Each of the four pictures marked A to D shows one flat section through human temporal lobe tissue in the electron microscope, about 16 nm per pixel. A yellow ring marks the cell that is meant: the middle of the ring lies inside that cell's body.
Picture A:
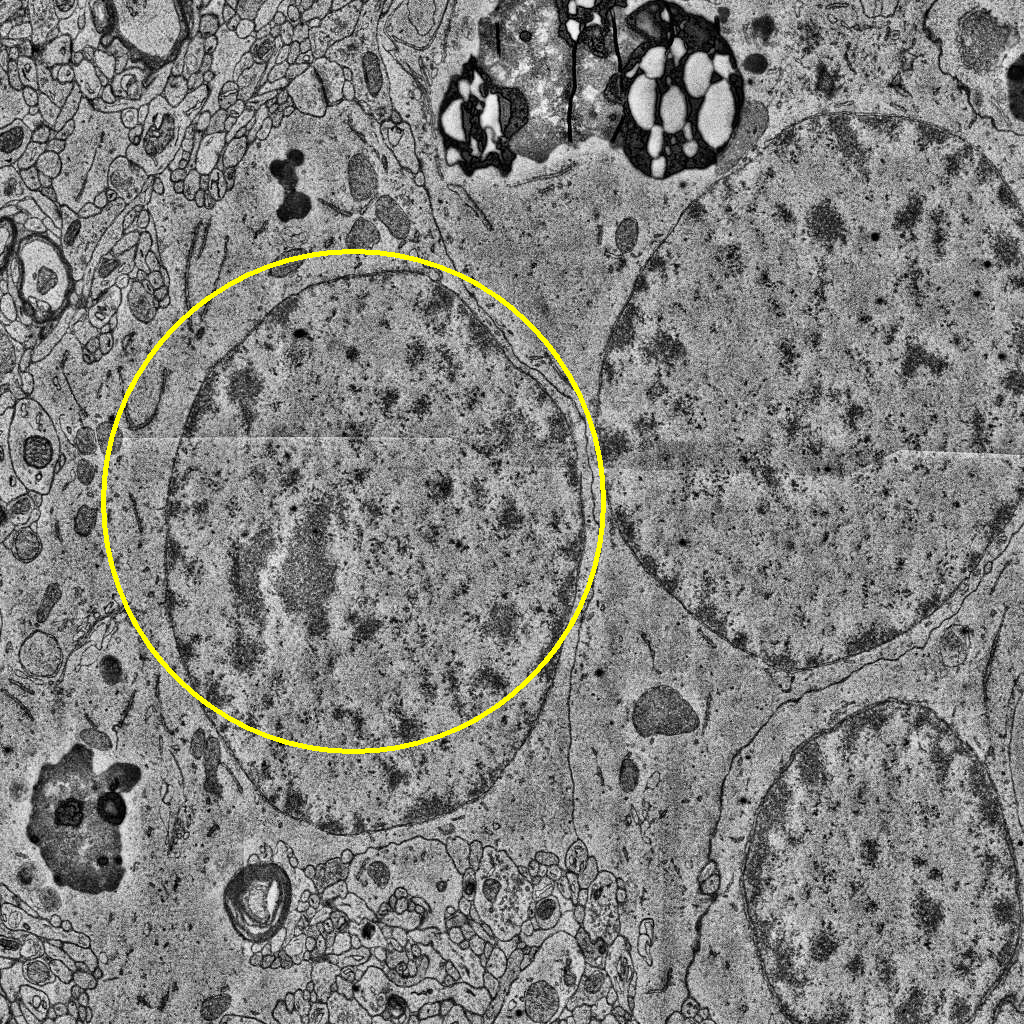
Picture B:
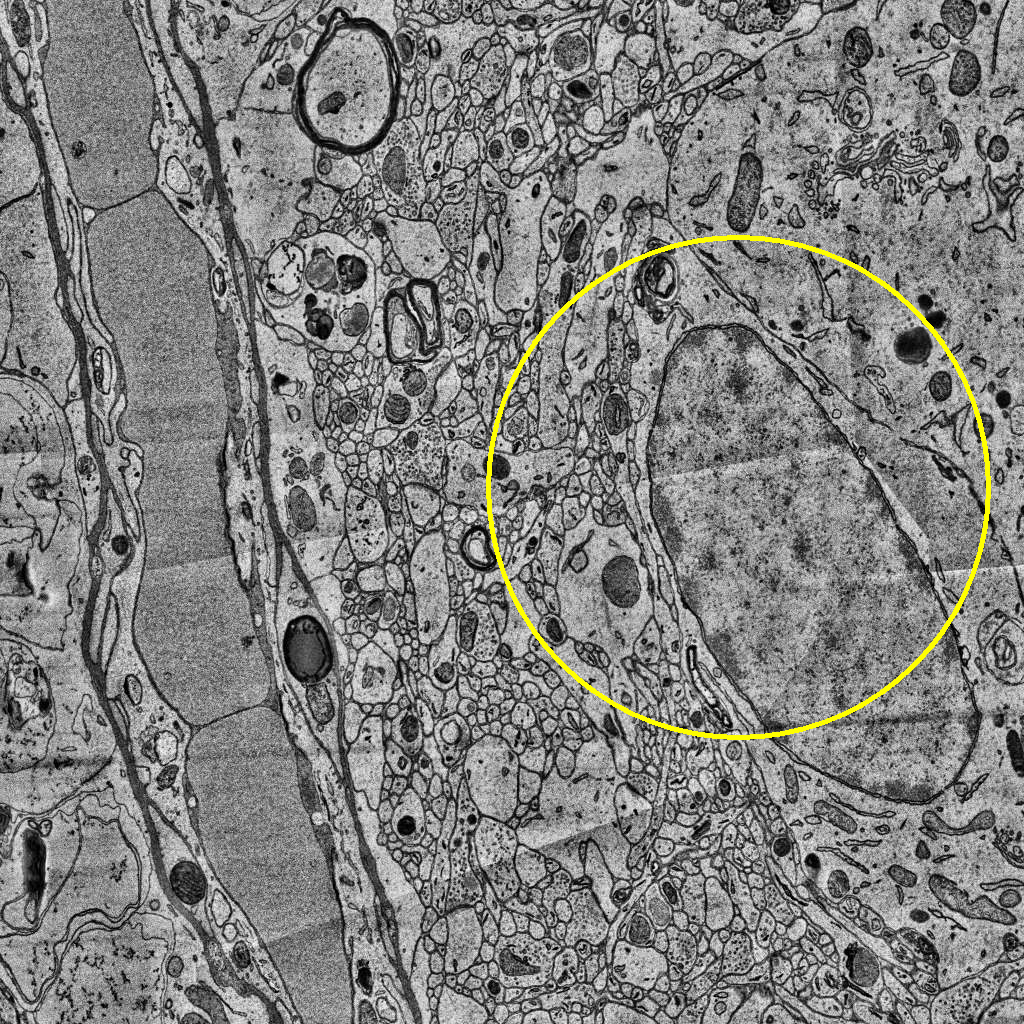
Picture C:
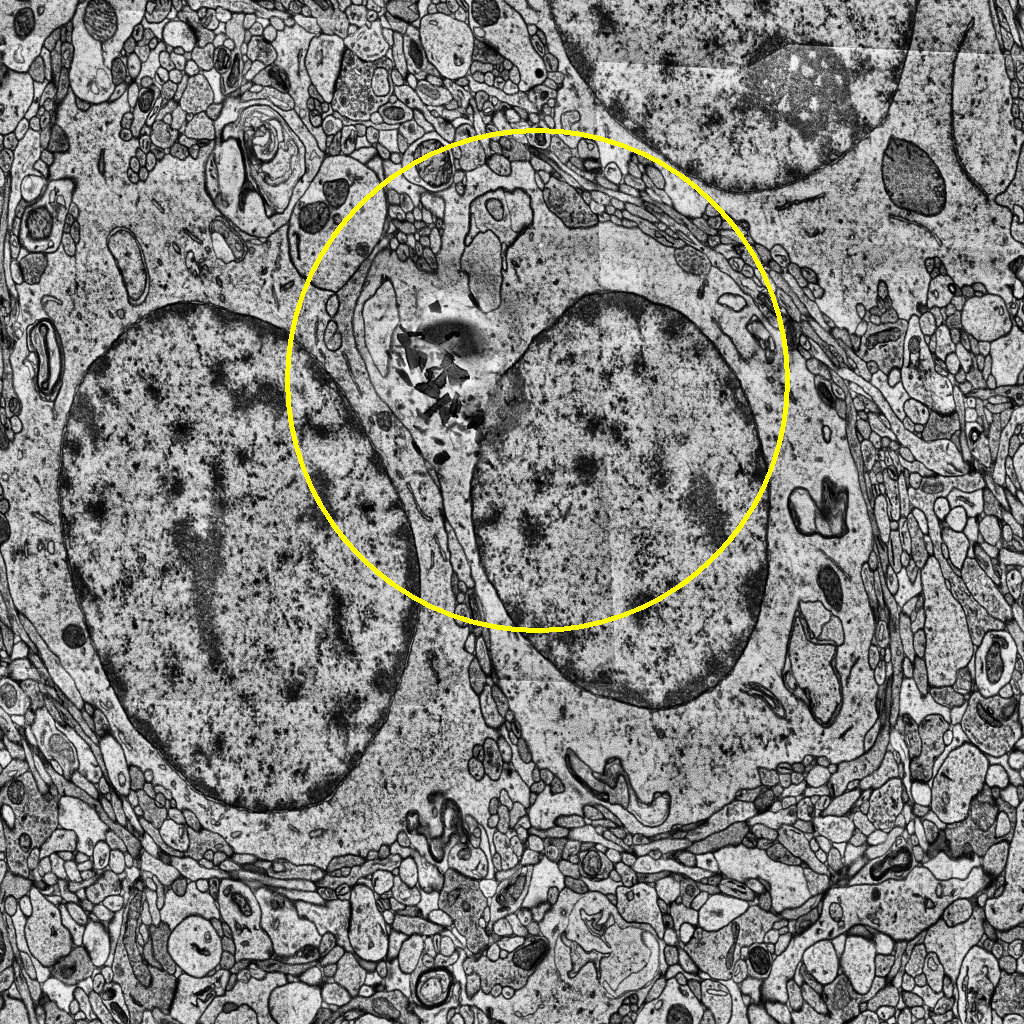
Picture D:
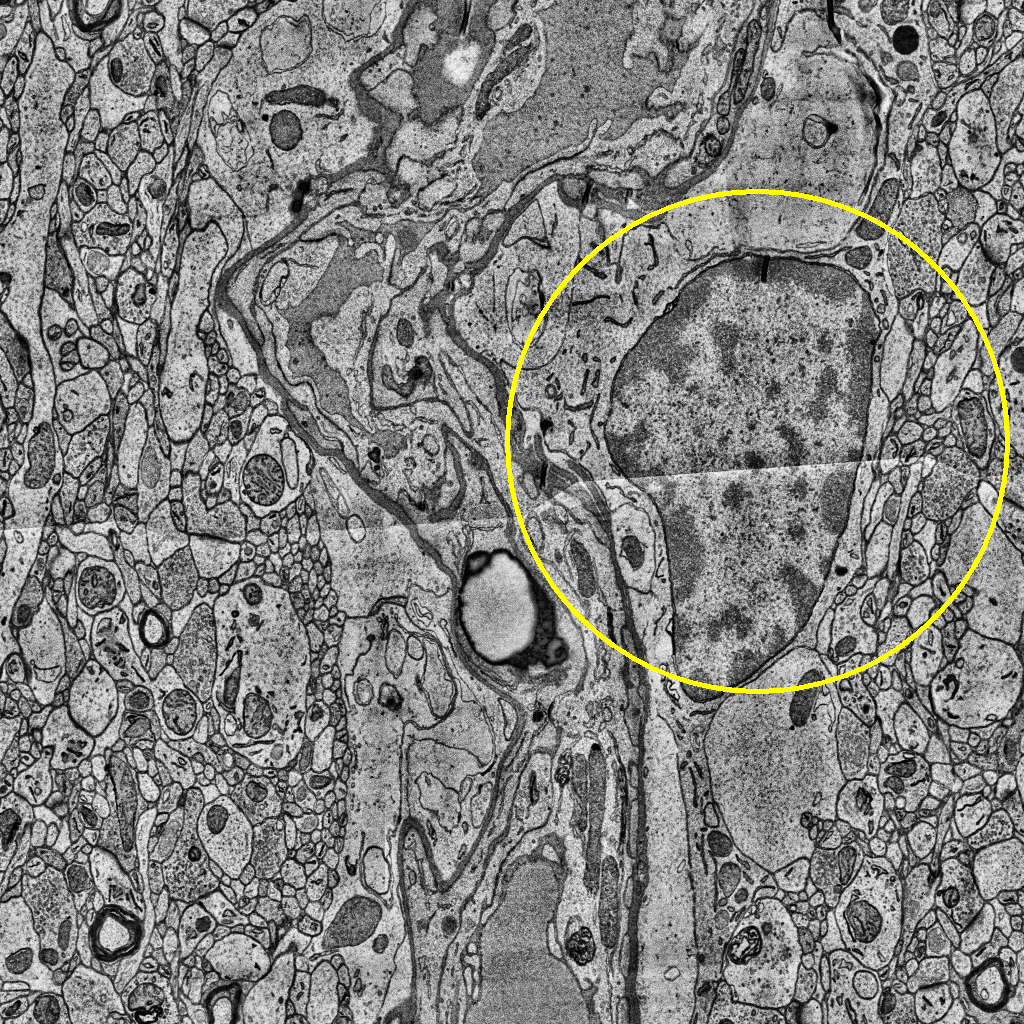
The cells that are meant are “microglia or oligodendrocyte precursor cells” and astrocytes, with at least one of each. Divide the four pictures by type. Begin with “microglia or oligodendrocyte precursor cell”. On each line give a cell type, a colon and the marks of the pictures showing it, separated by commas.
microglia or oligodendrocyte precursor cell: B, D
astrocyte: A, C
